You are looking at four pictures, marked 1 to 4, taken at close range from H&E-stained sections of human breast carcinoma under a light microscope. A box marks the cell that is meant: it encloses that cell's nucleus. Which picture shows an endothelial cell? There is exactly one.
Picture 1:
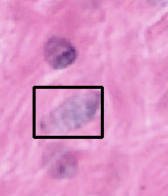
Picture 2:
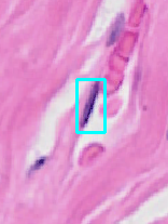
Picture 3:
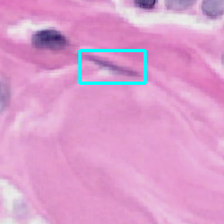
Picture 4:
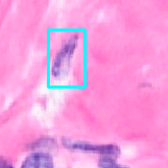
2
